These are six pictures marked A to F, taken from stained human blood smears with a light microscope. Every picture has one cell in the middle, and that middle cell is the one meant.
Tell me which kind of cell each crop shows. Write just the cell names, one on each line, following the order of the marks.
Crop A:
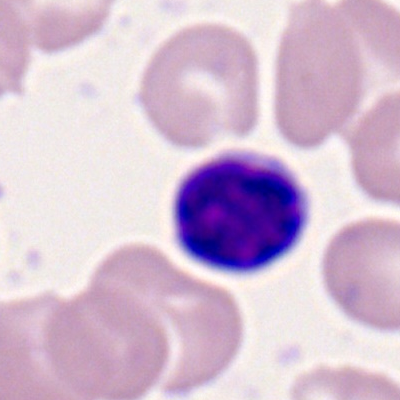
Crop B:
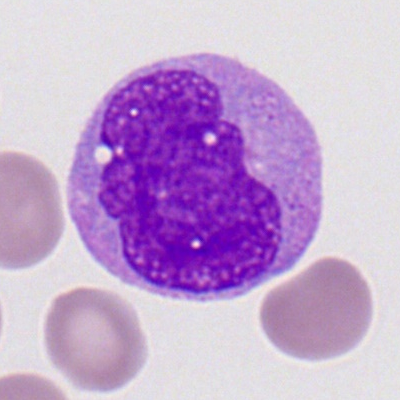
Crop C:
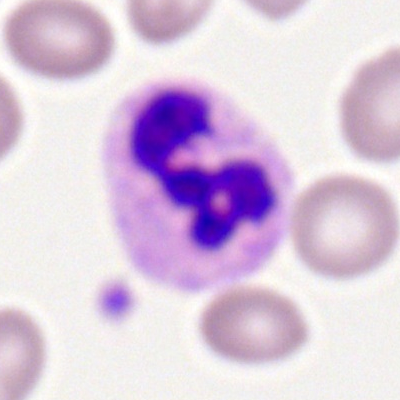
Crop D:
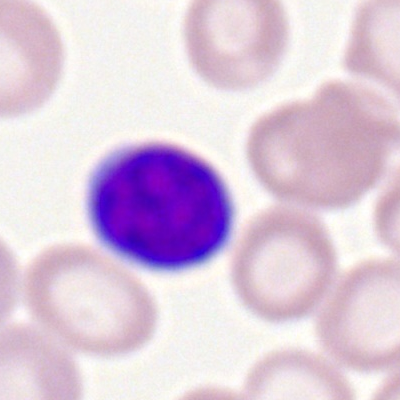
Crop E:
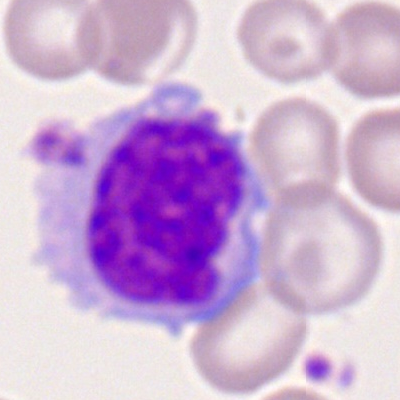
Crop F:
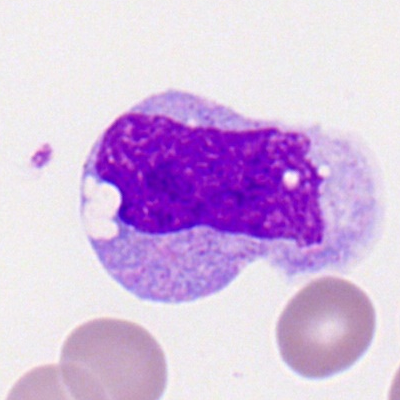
lymphocyte
monocyte
segmented neutrophil
lymphocyte
monocyte
monocyte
